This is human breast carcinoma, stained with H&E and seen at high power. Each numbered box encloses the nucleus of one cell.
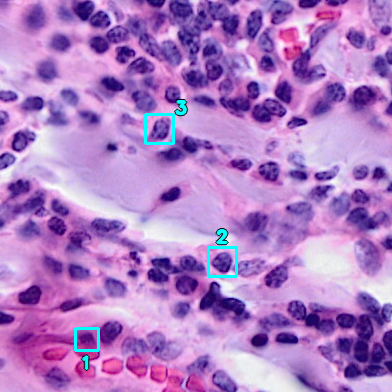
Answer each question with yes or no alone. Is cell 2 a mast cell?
no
